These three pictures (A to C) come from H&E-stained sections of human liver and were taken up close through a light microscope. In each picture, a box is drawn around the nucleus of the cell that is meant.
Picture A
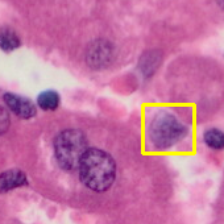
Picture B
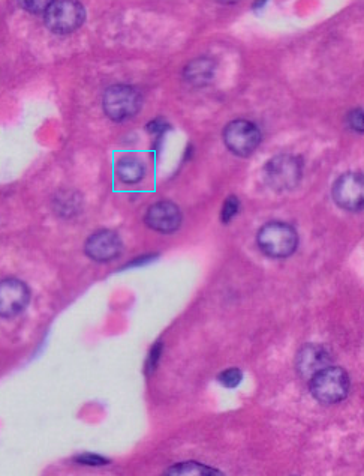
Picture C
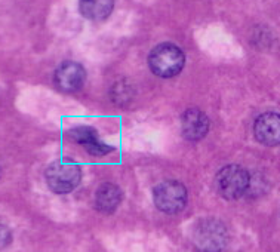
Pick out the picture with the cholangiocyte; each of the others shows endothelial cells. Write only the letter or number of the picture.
B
